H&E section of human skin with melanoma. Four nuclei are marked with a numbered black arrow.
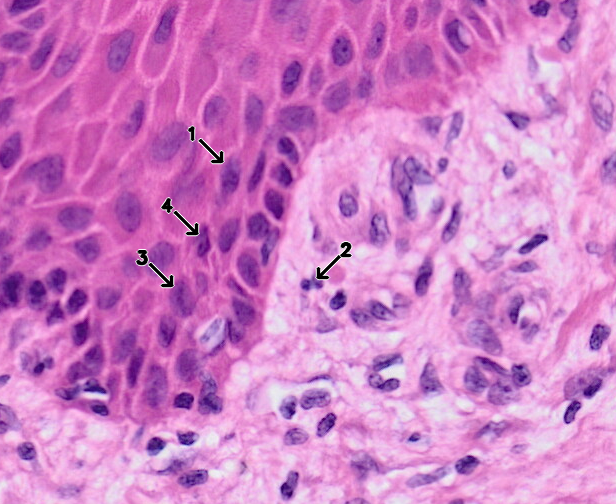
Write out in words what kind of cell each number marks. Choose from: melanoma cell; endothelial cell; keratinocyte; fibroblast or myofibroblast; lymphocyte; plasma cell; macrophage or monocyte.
Cells 1, 3 and 4 are keratinocytes. Cell 2 is a lymphocyte.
